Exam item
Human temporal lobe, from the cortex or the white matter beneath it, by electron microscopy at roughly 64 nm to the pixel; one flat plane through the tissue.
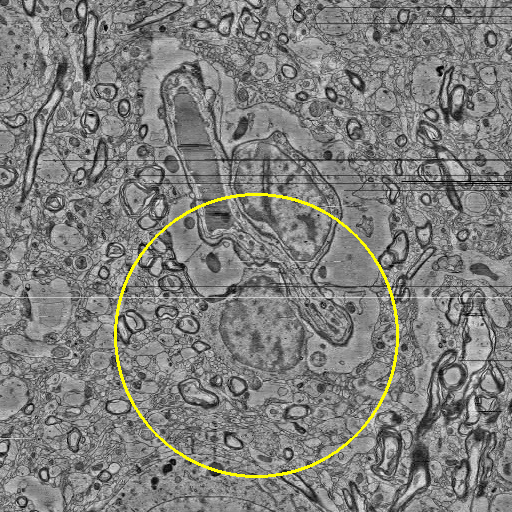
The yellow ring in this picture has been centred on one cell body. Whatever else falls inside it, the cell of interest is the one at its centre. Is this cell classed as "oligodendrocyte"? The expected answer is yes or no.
yes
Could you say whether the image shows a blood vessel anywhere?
Yes, the picture includes a blood vessel.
